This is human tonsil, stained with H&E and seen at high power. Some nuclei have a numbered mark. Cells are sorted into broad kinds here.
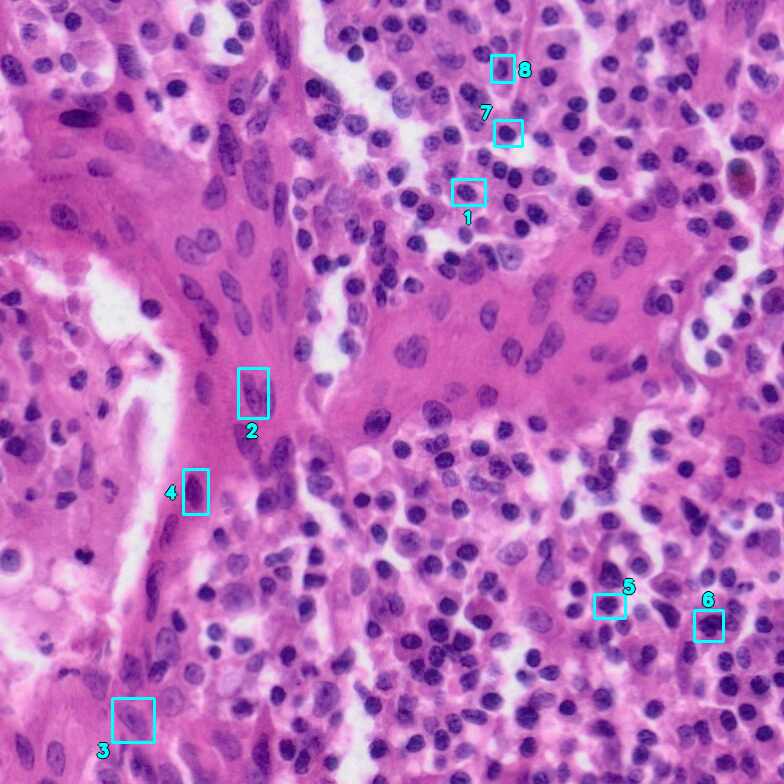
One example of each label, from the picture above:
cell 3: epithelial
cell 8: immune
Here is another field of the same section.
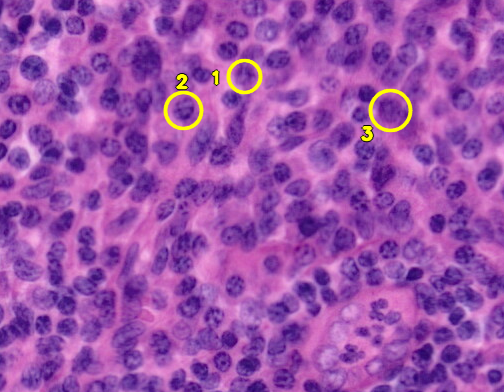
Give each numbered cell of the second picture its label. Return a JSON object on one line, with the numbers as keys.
{"1": "immune", "2": "immune", "3": "epithelial"}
